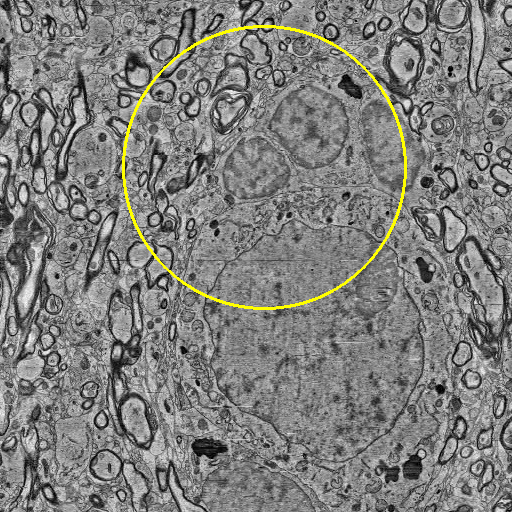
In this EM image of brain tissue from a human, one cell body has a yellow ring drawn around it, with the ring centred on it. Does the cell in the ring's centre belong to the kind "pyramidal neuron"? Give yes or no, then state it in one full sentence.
No, in the picture, the cell centred in the yellow ring belongs to another kind.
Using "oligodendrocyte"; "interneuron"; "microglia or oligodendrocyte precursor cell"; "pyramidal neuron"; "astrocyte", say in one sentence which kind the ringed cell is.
So the cell at the centre is an oligodendrocyte.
